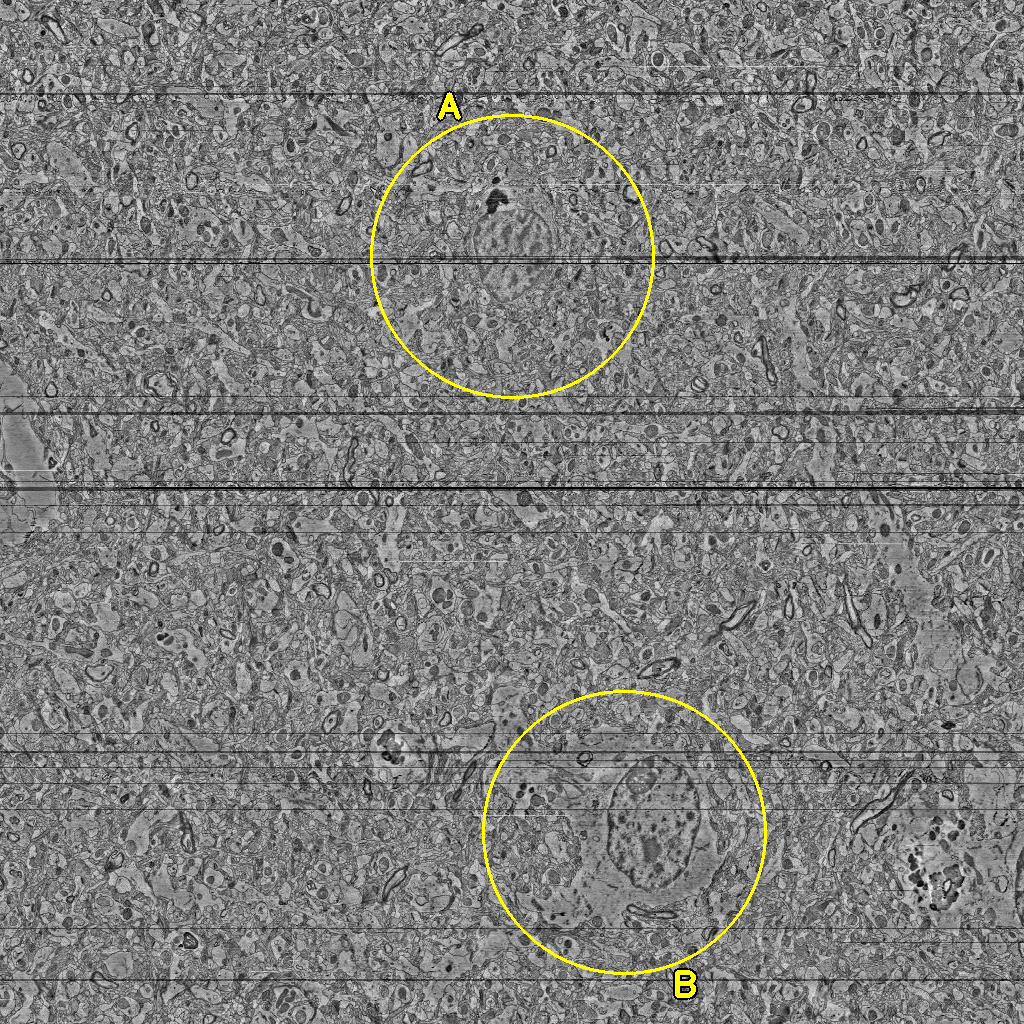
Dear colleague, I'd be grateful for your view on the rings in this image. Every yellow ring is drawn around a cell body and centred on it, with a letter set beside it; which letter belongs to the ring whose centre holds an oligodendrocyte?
A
